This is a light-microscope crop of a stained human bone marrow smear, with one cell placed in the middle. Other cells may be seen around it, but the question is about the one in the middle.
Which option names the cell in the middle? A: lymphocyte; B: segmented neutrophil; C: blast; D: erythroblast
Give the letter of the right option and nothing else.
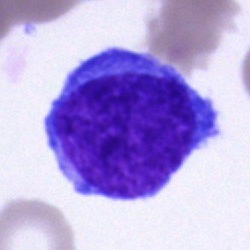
C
